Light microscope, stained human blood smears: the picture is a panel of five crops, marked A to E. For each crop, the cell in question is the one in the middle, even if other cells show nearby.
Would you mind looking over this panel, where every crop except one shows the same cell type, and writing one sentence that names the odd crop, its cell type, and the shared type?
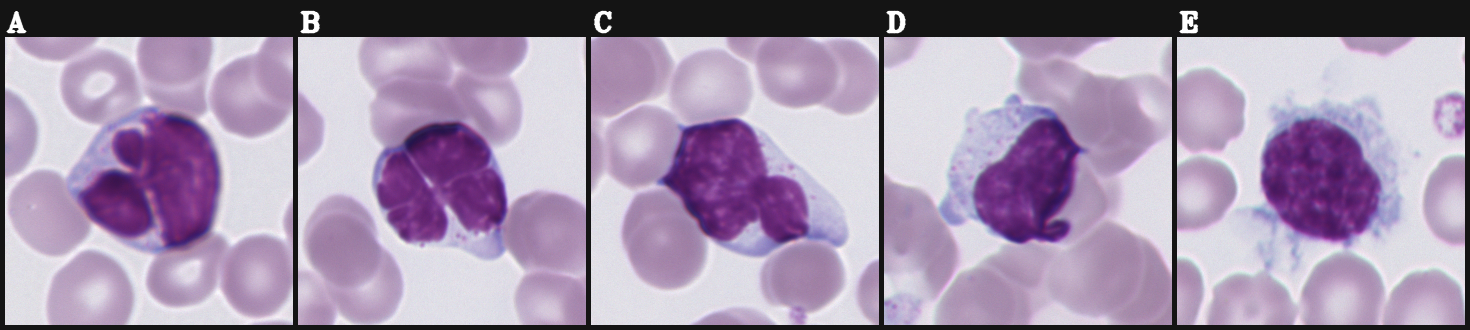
In this set, all crops show large granular lymphocytes apart from crop E, which is a hairy cell.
